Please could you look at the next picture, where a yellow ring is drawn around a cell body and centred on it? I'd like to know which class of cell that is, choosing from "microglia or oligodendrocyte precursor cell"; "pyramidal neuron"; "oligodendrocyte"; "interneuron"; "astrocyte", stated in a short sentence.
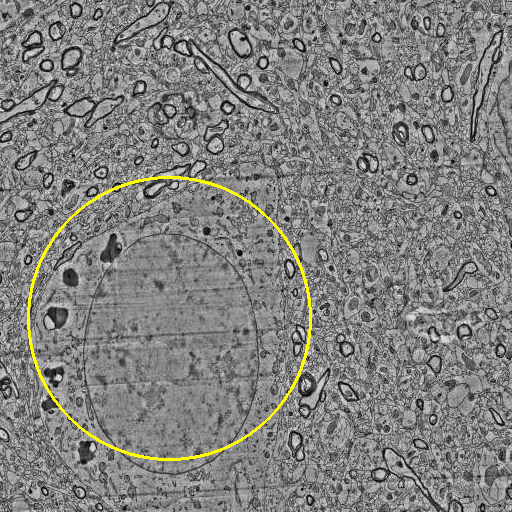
The ring's centre lies on a pyramidal neuron.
